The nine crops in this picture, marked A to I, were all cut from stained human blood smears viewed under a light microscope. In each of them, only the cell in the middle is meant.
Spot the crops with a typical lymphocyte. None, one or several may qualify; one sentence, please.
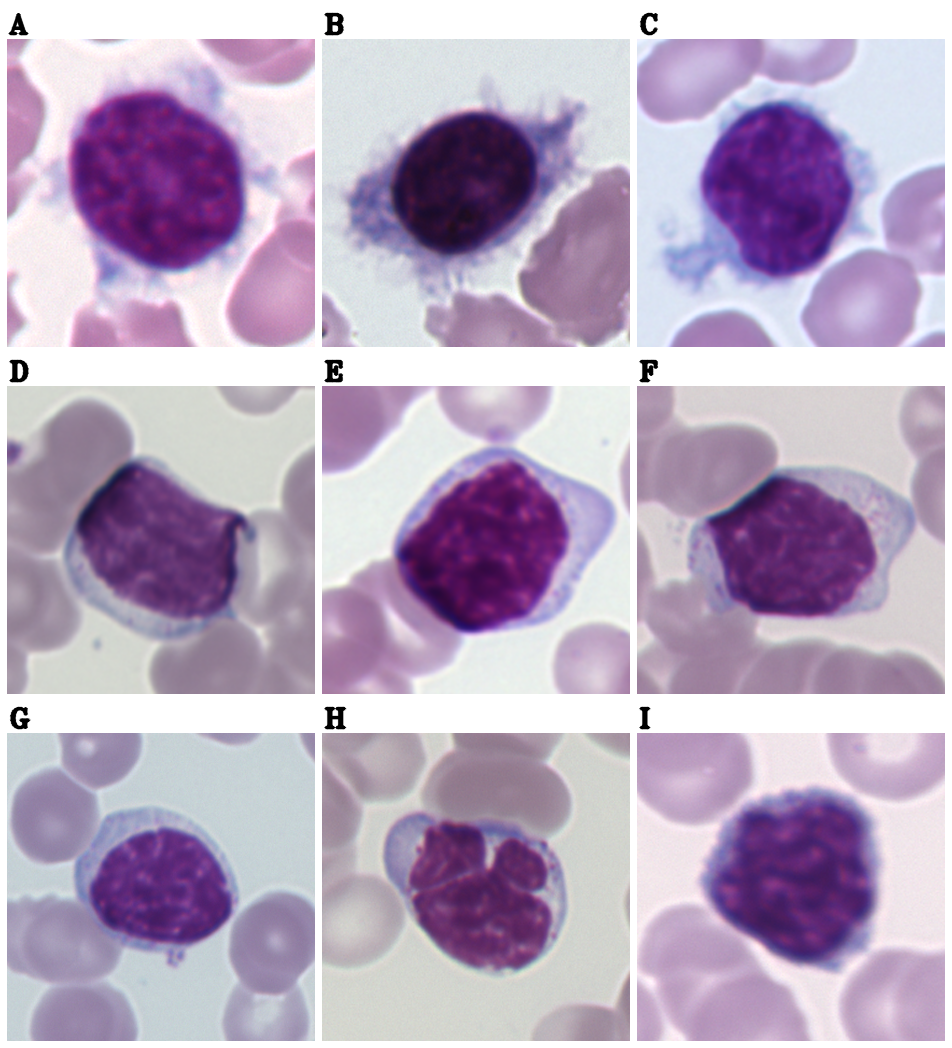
In contrast to the remaining crops, crop I contains a typical lymphocyte.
